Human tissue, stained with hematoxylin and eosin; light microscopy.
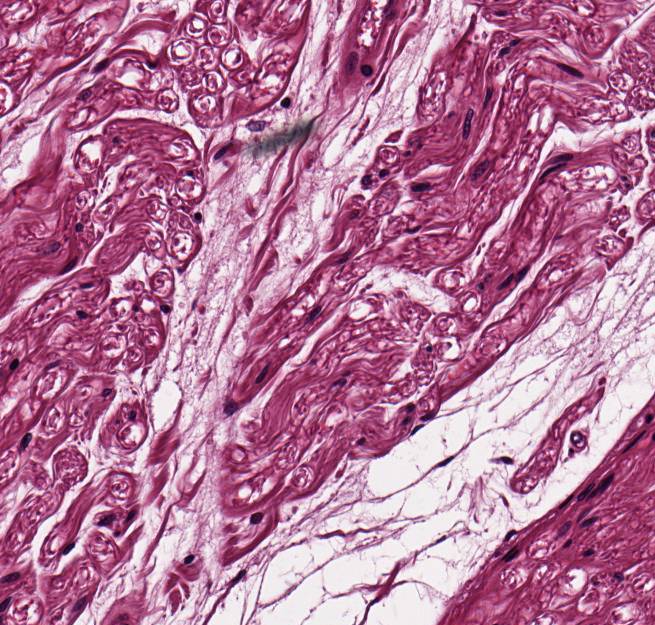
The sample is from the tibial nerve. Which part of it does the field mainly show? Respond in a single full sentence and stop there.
The human tissue part in this section is nerve fascicle.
